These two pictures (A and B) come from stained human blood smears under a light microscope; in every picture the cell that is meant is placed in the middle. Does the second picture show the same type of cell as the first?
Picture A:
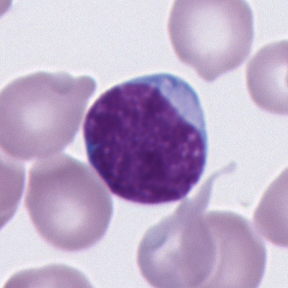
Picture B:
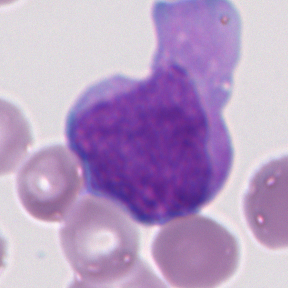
no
